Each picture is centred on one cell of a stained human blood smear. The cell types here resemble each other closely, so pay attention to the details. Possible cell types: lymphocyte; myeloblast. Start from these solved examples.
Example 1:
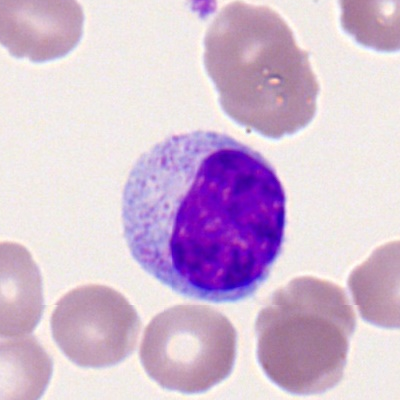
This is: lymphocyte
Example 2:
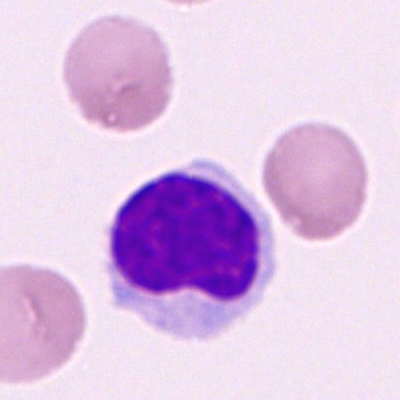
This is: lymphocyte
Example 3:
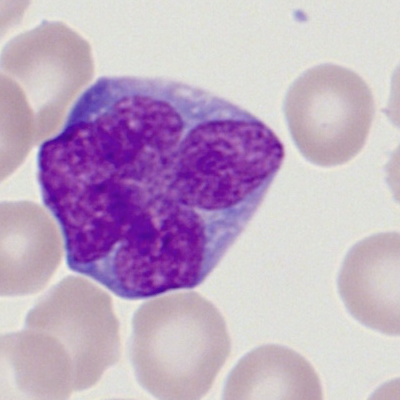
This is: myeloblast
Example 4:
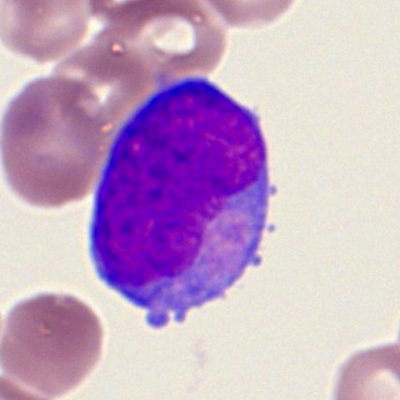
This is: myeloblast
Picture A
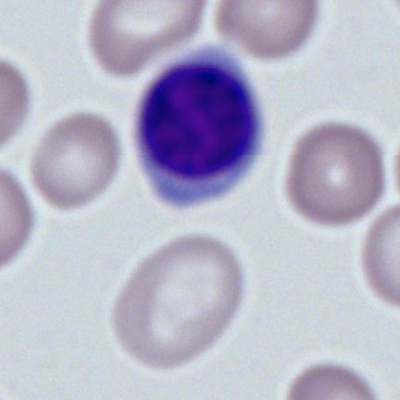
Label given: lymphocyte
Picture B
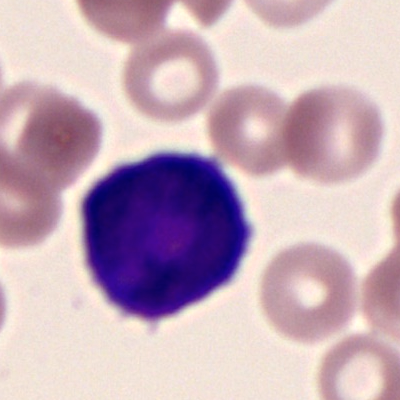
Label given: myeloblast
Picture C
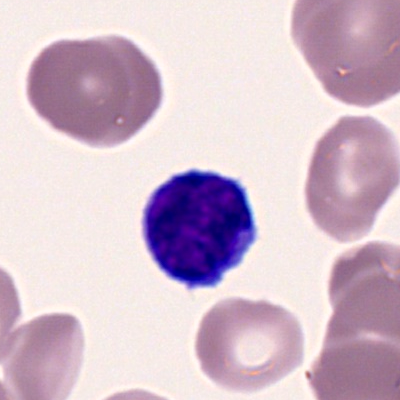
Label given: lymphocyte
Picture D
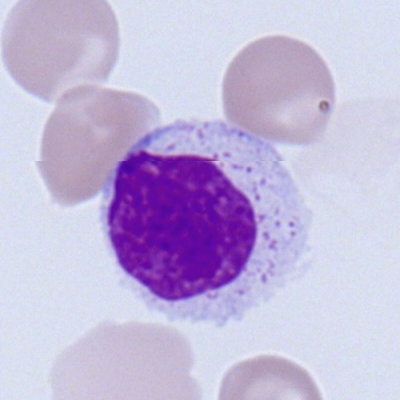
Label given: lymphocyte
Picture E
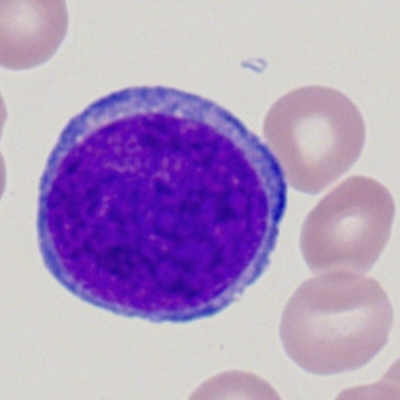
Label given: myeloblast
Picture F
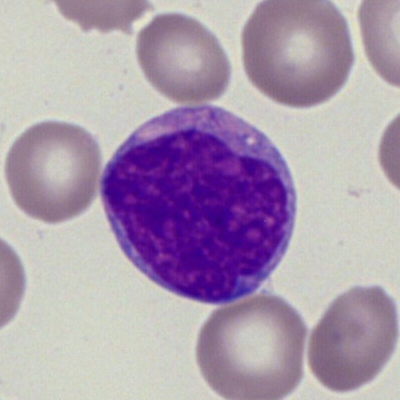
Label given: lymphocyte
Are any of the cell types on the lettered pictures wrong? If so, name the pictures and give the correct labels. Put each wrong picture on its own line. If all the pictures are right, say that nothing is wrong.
F: not lymphocyte but myeloblast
